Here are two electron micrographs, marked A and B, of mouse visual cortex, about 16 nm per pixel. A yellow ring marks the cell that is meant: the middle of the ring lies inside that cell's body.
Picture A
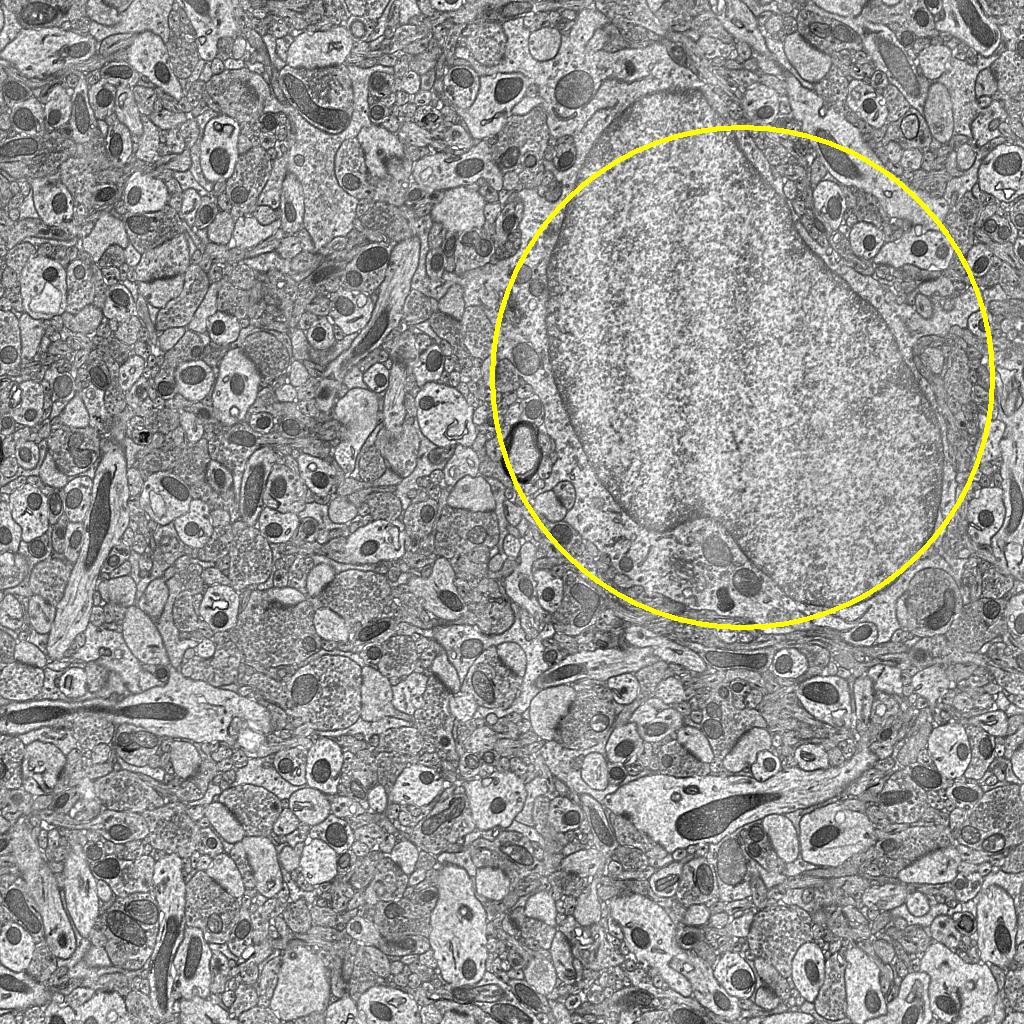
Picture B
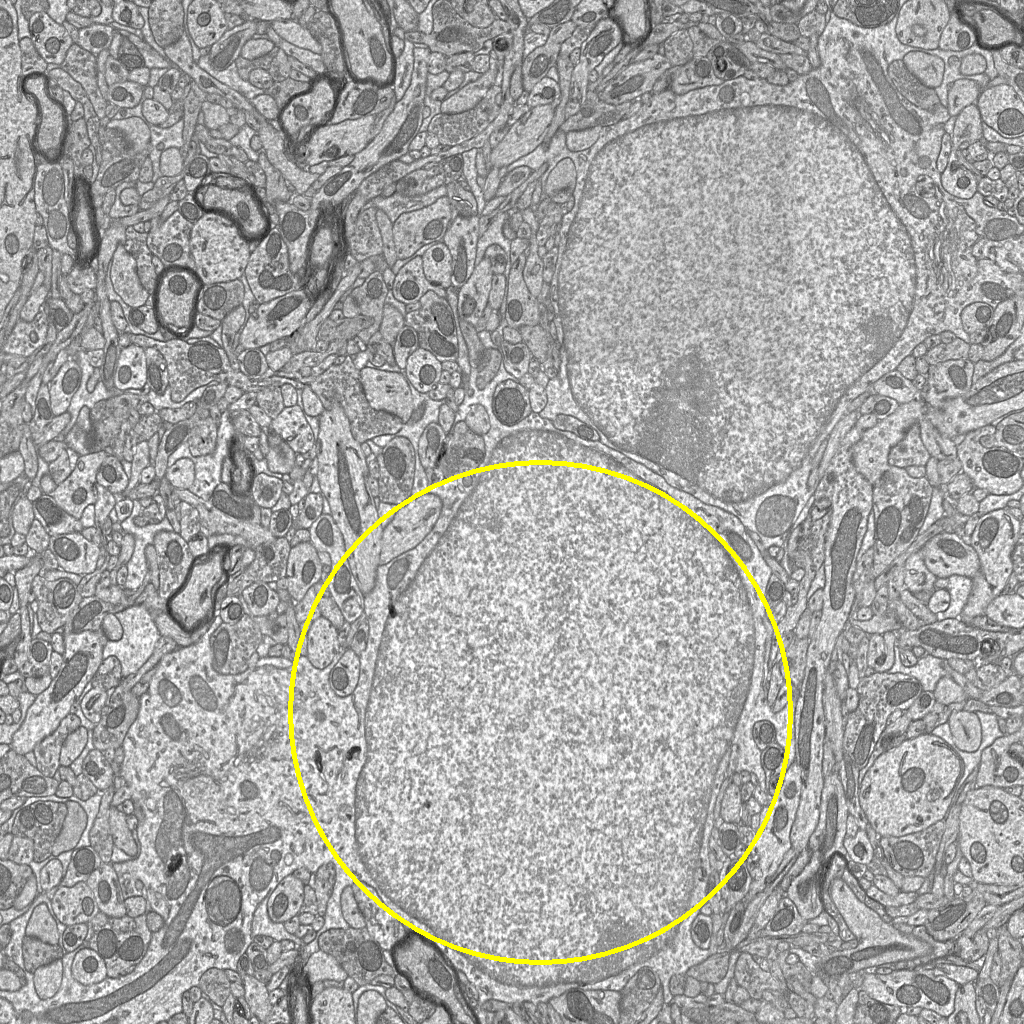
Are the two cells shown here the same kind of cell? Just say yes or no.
yes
